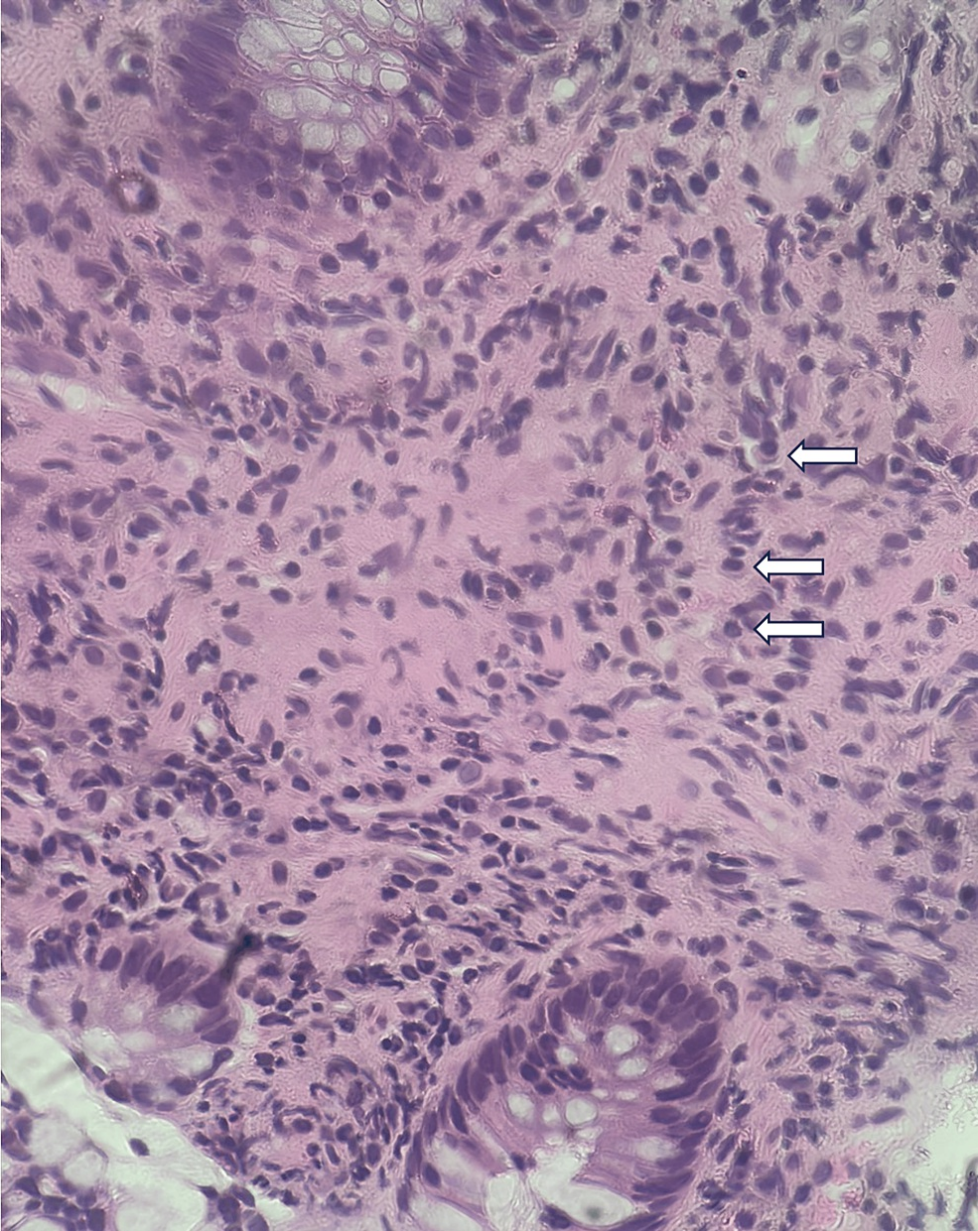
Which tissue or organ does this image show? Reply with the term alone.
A: Colonic mucosa.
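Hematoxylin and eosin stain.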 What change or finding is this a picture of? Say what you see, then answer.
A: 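Marked expansion of the lamina propria. The crypts are few and widely separated. A broad band of densely cellular pink stroma fills the space between the crypts.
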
